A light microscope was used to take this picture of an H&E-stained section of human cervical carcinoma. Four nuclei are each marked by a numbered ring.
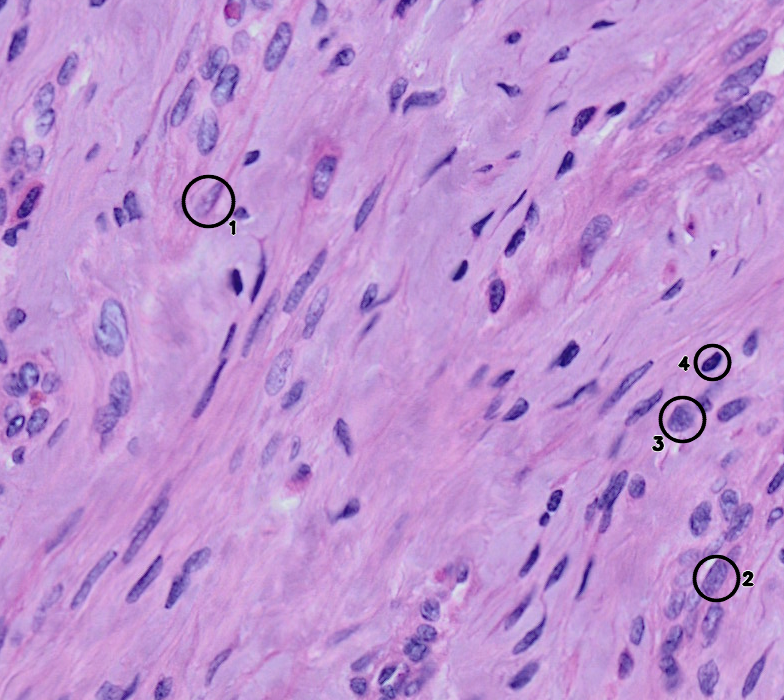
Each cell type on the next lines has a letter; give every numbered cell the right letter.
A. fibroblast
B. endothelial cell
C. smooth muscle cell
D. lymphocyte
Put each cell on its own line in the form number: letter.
1: C
2: B
3: A
4: D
